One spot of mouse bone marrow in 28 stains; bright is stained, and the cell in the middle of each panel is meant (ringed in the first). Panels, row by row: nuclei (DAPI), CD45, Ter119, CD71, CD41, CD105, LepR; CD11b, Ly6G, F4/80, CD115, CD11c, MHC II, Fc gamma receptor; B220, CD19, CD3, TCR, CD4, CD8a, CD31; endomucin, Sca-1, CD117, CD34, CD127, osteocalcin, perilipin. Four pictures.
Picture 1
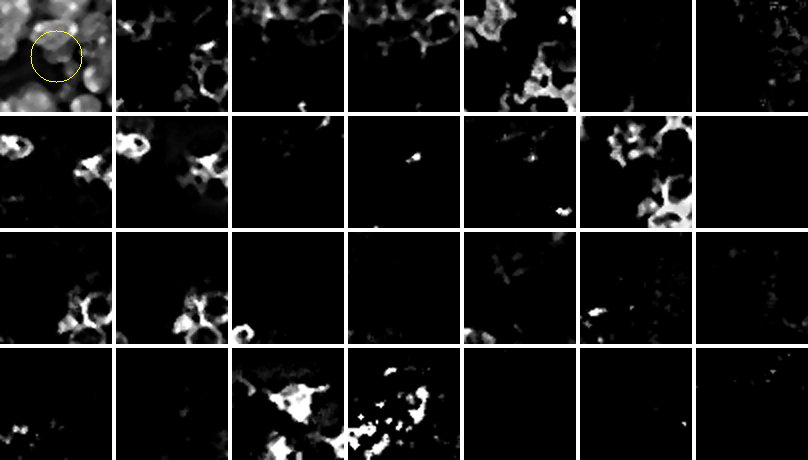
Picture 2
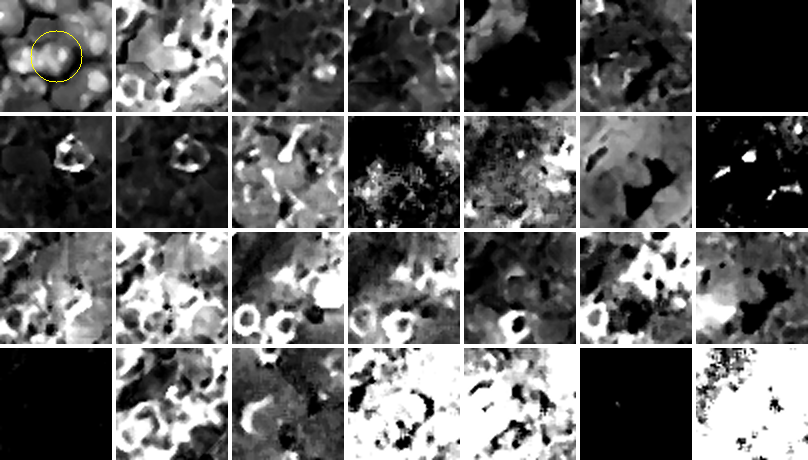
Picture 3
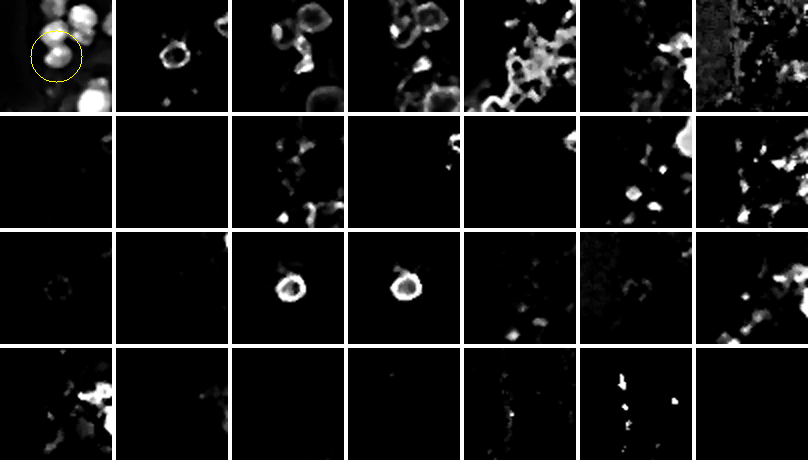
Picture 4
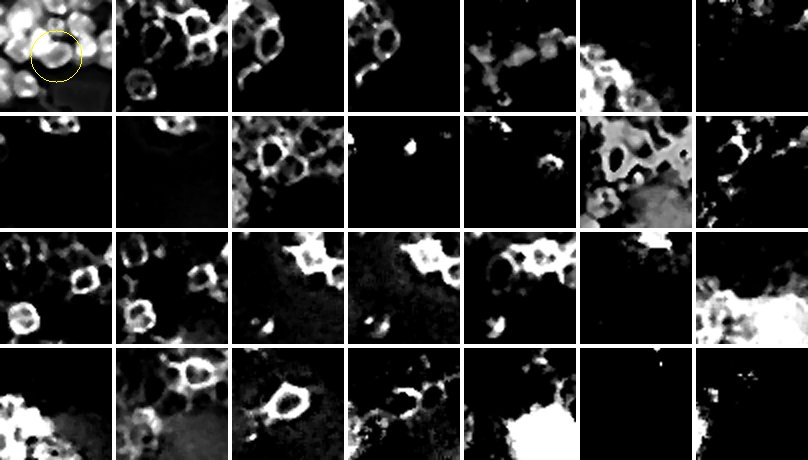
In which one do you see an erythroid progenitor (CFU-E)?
In picture 2.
